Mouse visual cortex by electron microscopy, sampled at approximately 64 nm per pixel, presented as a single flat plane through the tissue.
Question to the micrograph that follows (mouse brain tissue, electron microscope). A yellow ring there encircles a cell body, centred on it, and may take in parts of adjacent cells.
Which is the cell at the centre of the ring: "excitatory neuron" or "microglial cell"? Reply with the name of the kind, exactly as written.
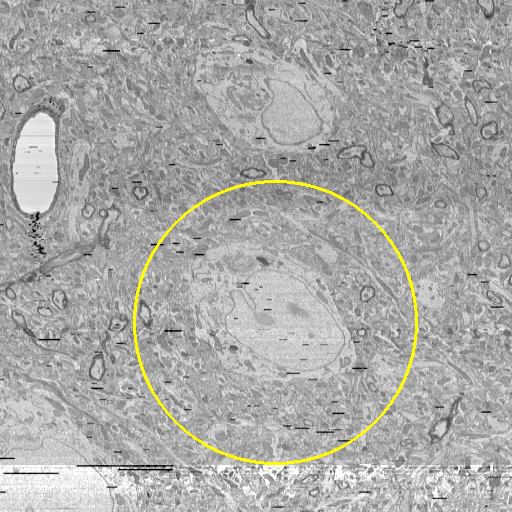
excitatory neuron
